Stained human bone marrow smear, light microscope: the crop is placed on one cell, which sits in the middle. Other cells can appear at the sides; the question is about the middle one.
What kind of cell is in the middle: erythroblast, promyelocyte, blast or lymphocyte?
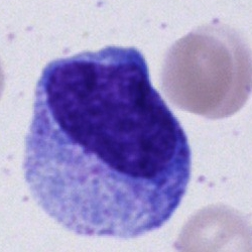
promyelocyte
